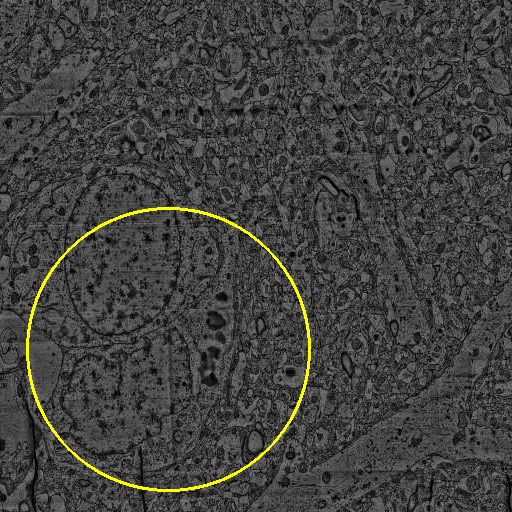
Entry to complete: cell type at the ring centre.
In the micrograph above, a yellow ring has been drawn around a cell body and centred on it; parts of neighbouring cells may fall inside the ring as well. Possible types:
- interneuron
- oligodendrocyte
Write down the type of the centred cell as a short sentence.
The ring is centred on an interneuron.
